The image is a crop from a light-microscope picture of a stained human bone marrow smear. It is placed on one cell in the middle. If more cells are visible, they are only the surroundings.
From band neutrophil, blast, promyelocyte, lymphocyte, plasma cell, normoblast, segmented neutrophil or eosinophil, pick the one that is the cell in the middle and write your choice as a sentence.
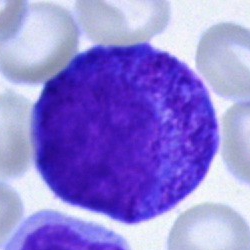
The cell found in the middle of this crop is a promyelocyte.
